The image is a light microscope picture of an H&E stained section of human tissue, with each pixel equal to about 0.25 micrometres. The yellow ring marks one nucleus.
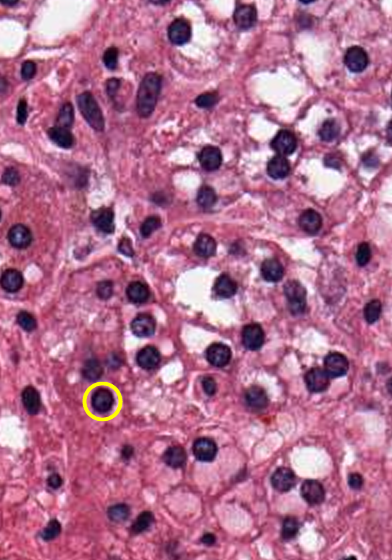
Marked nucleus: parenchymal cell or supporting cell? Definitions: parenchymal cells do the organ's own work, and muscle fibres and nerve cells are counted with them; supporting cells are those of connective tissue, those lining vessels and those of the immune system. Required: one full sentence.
The cell to which the marked nucleus belongs is an adrenal cortical cell, a parenchymal cell.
